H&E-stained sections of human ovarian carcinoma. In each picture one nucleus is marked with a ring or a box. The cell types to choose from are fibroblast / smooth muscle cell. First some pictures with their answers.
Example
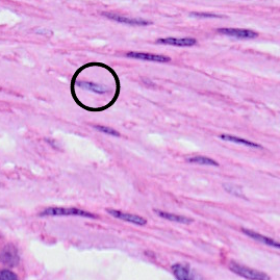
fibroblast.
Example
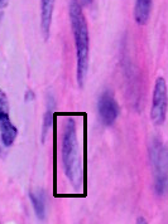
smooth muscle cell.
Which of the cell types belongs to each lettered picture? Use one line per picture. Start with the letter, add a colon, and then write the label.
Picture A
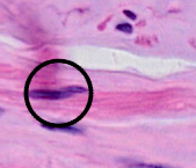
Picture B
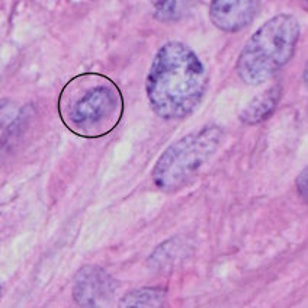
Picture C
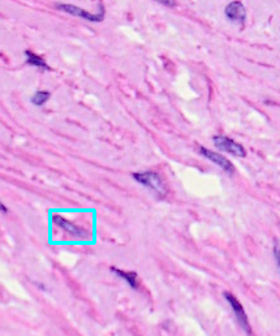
A: smooth muscle cell.
B: fibroblast.
C: fibroblast.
